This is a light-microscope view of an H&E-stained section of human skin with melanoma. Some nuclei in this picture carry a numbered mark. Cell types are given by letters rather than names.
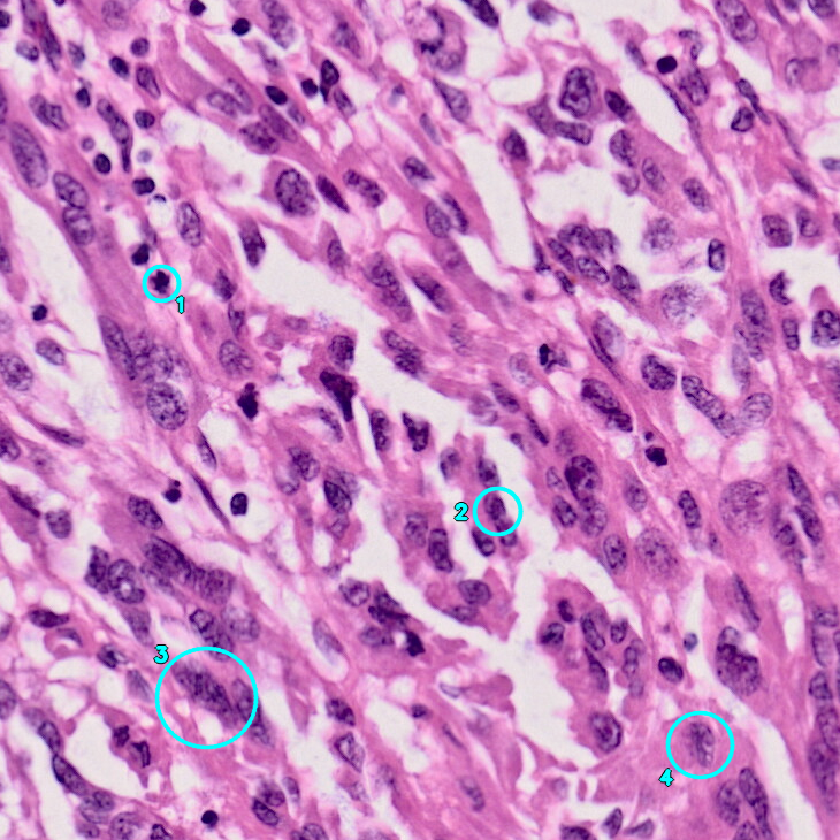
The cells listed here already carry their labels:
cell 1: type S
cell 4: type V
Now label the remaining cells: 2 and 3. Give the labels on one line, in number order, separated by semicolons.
type V; type V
